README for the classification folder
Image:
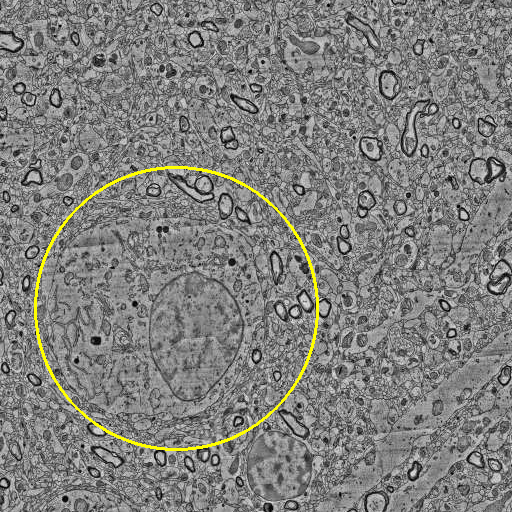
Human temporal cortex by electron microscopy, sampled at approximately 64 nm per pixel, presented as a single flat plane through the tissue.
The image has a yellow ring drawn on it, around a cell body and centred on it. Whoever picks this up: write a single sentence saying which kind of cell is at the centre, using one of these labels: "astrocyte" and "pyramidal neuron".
This cell body is that of a pyramidal neuron.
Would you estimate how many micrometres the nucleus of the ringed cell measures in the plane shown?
The nucleus has a long axis of about 8 micrometres and a short axis of about 6 micrometres in this plane.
